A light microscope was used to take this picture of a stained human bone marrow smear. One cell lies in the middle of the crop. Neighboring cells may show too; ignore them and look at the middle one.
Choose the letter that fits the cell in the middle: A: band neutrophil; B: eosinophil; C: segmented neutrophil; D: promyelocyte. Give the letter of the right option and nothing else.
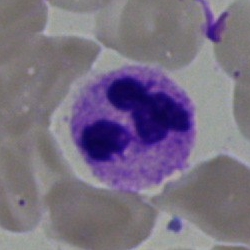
C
